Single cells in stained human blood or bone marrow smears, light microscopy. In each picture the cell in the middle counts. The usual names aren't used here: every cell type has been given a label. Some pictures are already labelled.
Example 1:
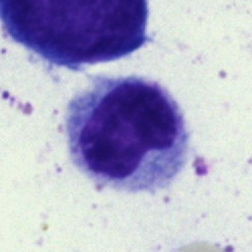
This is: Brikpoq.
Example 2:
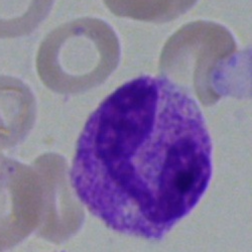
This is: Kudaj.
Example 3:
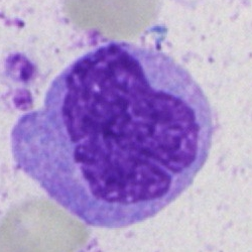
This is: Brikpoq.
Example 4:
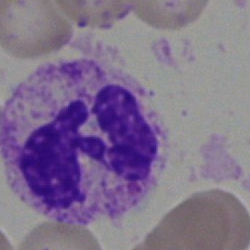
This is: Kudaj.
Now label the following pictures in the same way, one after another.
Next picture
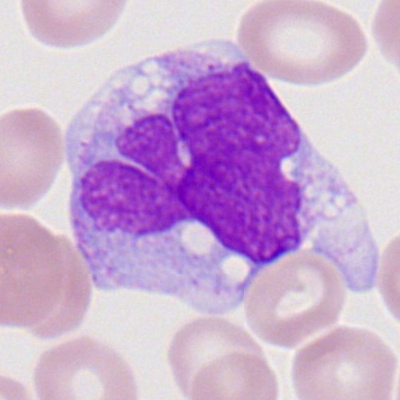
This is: Brikpoq.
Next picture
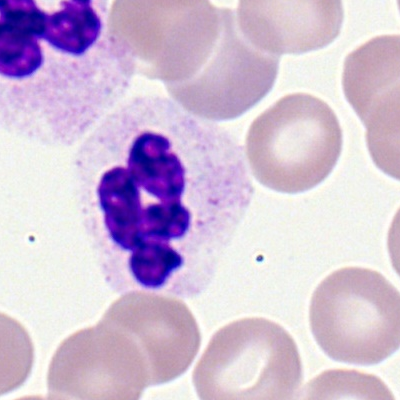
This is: Kudaj.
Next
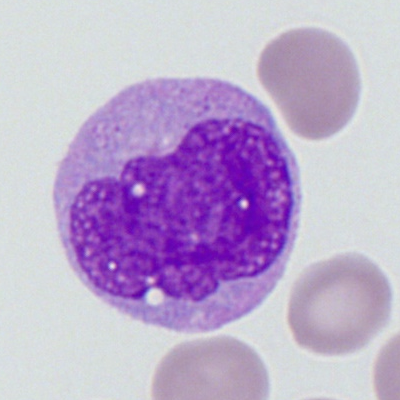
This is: Brikpoq.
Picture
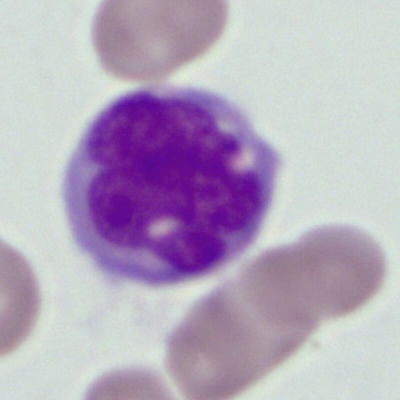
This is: Brikpoq.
